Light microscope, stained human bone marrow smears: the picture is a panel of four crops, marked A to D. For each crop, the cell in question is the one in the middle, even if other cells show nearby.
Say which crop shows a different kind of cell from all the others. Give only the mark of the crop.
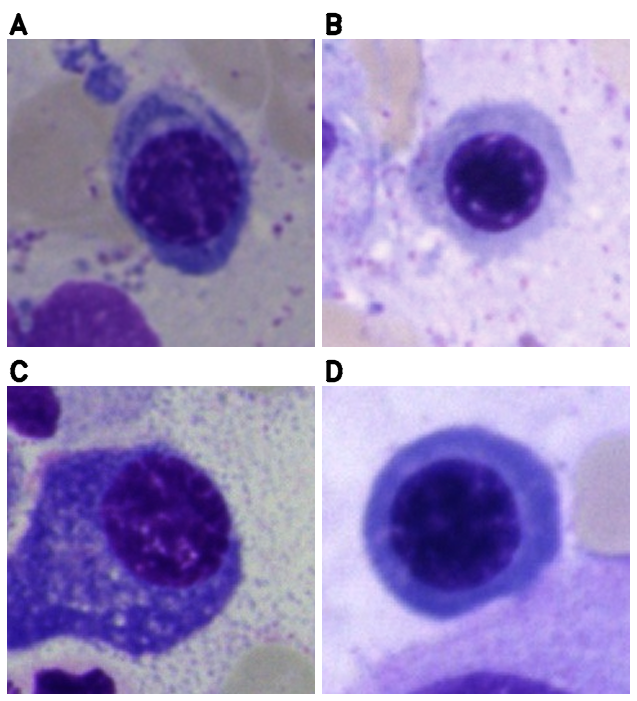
C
